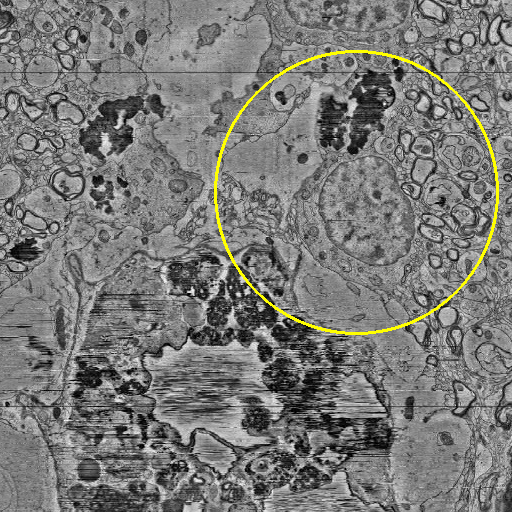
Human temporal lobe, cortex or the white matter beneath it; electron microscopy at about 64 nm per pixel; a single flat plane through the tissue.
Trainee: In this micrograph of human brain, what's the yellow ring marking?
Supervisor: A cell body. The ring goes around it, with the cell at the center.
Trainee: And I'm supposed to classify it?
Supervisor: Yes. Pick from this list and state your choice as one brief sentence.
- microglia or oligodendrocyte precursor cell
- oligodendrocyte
The cell at the ring's center is an oligodendrocyte.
